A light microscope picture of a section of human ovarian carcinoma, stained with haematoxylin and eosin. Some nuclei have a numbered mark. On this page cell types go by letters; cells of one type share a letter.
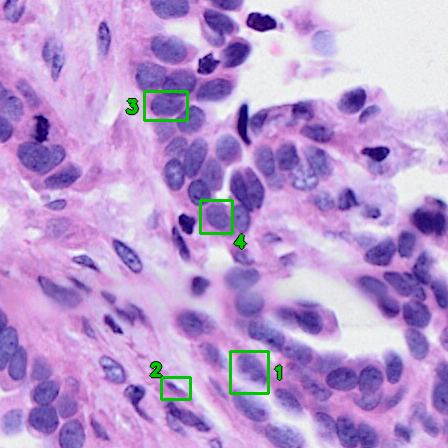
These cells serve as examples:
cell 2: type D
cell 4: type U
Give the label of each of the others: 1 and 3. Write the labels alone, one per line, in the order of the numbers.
type U
type U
